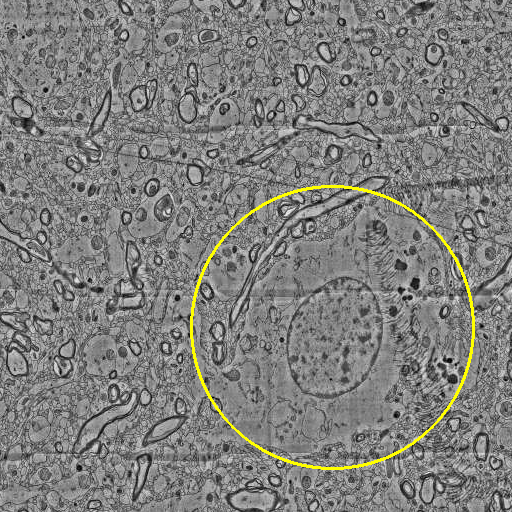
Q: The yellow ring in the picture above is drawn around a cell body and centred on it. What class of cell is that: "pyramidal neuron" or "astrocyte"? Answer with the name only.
astrocyte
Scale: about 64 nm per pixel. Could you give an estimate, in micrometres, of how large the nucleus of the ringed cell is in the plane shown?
Roughly 8 by 6 micrometres is the size of the nucleus in this plane.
